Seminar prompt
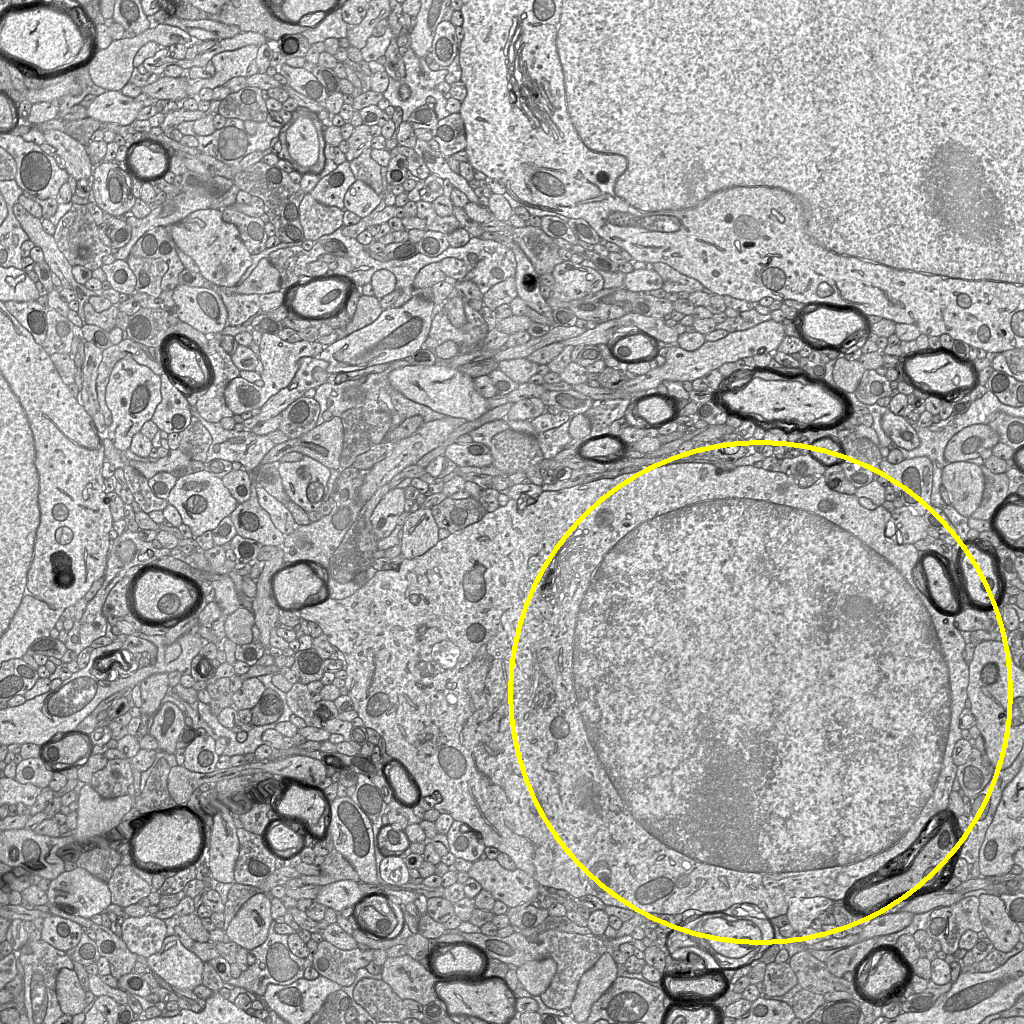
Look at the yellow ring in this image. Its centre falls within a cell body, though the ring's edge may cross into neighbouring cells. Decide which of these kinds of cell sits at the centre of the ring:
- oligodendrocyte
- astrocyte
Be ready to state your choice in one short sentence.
The kind of cell at the ring's centre is an oligodendrocyte.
